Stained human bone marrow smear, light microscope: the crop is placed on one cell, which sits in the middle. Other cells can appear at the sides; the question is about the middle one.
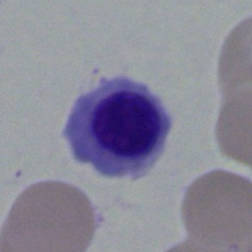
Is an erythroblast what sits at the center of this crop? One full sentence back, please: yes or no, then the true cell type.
Yes, the centred cell is categorised as an erythroblast.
